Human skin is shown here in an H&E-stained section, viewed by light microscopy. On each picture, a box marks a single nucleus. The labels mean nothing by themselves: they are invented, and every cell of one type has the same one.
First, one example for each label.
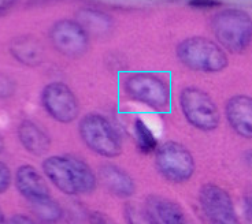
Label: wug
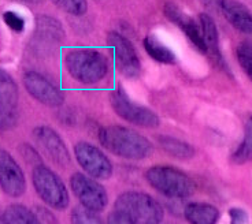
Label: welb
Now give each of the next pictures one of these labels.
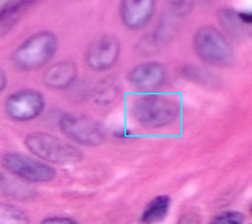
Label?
welb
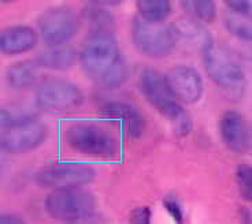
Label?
welb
